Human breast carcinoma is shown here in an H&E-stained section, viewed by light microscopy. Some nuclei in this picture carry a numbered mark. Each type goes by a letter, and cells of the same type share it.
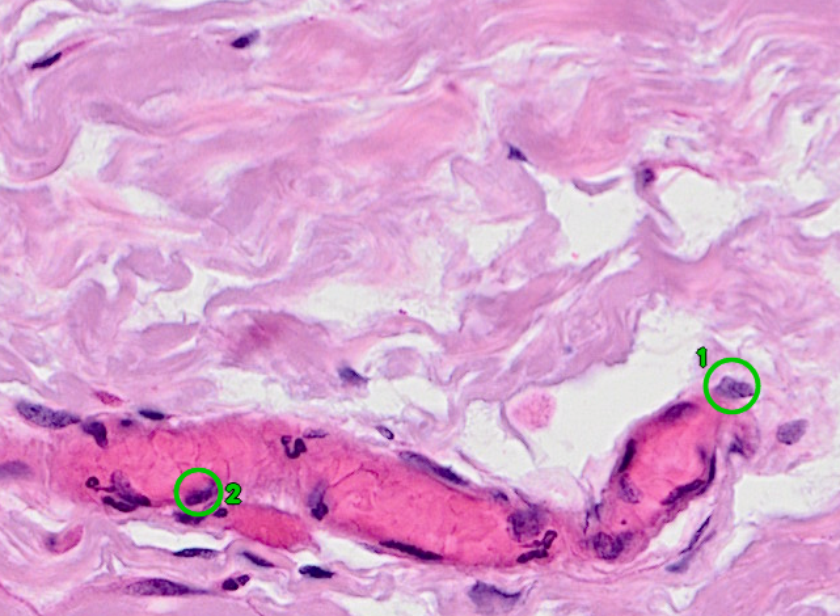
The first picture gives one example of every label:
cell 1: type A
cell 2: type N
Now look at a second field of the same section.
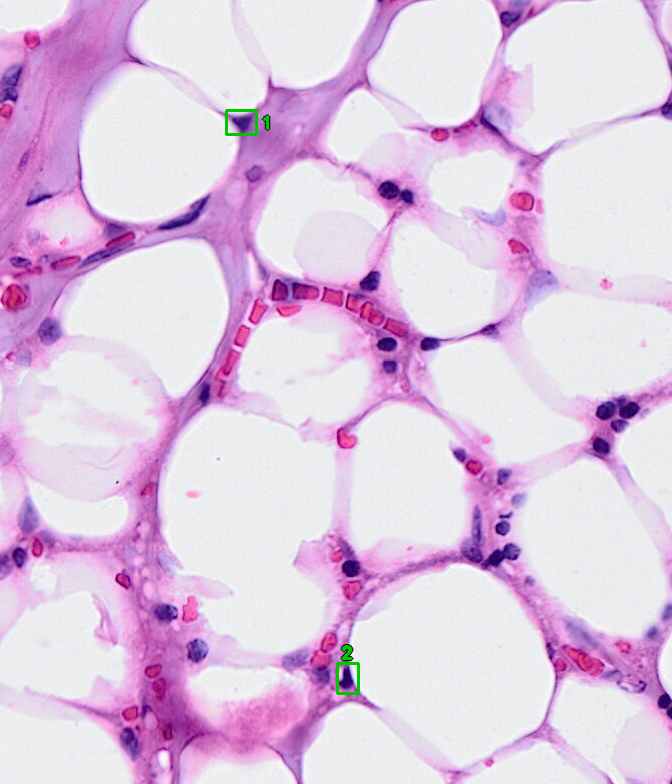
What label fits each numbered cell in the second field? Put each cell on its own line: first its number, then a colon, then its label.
1: type A
2: type N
